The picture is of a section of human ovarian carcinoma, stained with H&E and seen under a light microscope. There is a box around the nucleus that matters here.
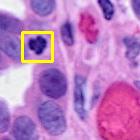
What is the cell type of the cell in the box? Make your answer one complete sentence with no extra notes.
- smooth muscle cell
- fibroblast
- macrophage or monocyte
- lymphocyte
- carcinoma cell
The cell type of the cell in the box is that of a lymphocyte.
